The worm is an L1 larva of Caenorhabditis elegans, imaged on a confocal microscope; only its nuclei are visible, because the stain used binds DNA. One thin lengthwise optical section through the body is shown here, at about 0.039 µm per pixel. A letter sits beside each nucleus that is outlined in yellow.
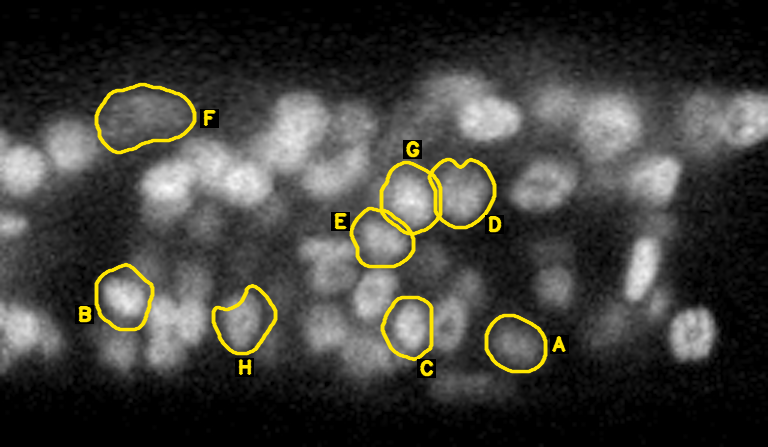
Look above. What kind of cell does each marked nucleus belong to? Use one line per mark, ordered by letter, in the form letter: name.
A: pharyngeal muscle cell
B: GLR cell
C: neuron
D: pharyngeal muscle cell
E: pharyngeal muscle cell
F: body wall muscle cell
G: neuron
H: neuron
